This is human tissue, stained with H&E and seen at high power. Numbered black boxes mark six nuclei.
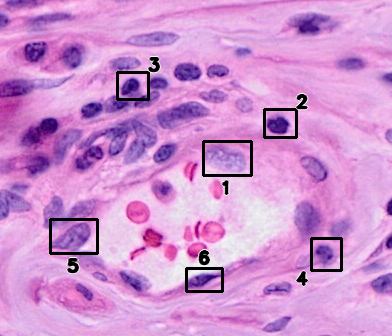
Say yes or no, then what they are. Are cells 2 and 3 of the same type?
Yes, both are lymphocytes.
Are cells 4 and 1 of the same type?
No, cell 4 is a lymphocyte and cell 1 is an endothelial cell.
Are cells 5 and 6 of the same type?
Yes, both are endothelial cells.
